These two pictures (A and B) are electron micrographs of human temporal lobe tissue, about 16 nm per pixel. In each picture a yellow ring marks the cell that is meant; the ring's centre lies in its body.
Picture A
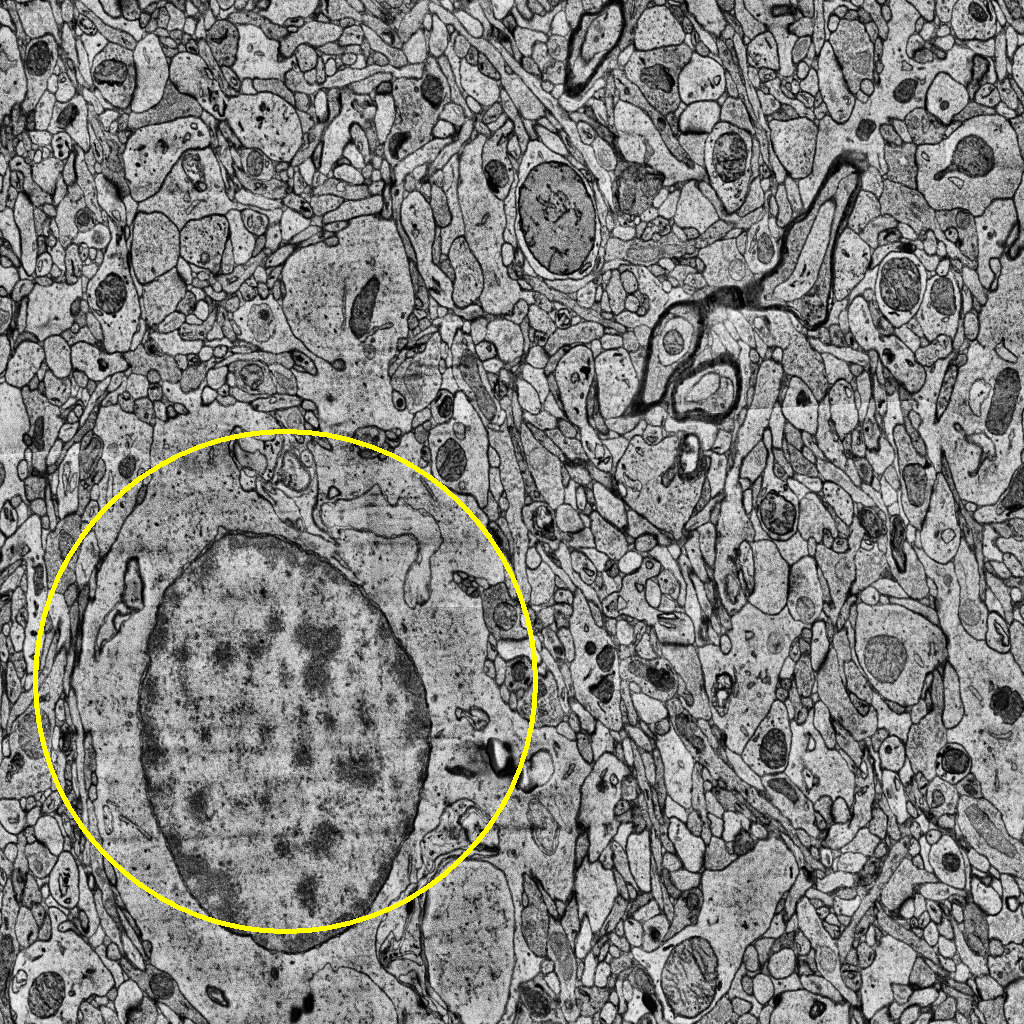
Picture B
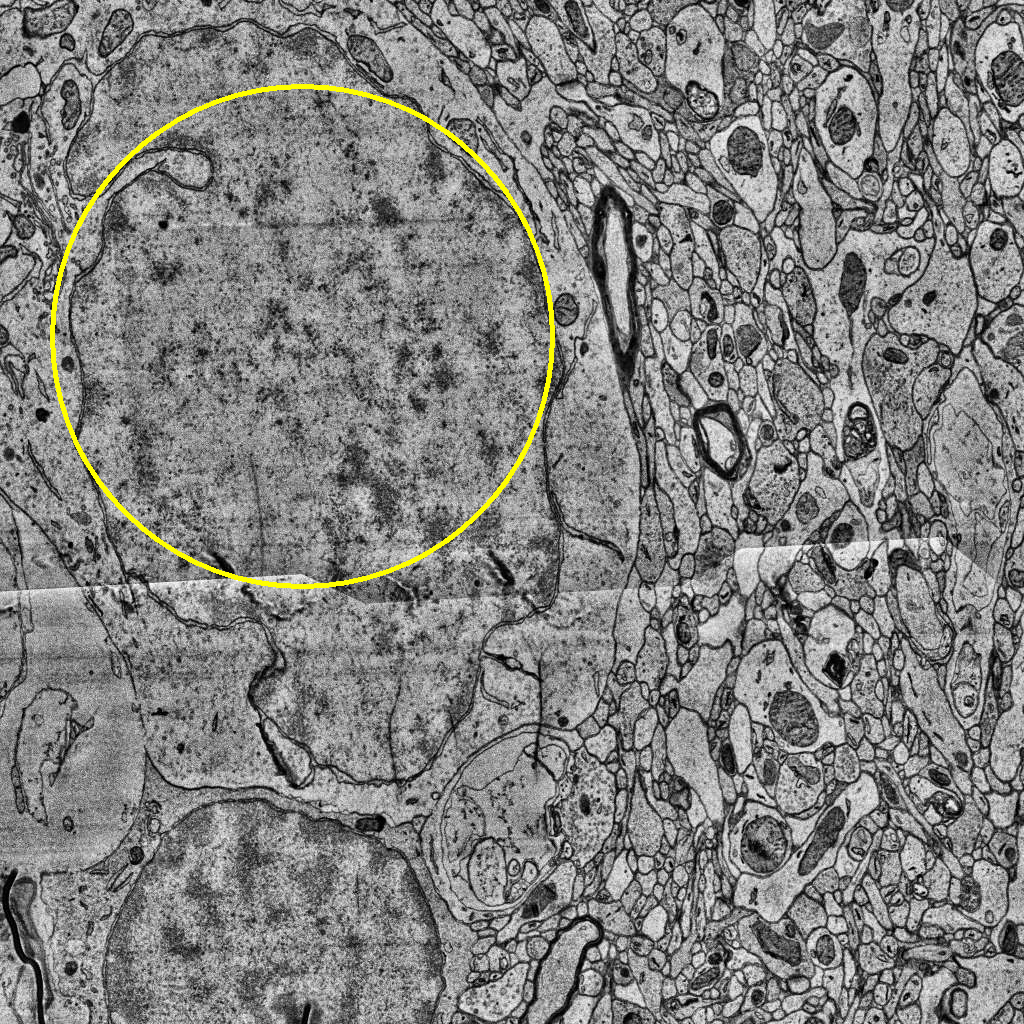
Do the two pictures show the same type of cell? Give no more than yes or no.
no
